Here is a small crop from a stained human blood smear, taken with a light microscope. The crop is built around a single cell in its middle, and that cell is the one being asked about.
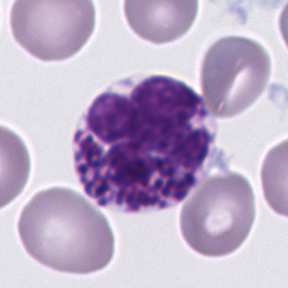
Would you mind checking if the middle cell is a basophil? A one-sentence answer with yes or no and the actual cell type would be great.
Yes, the cell here in the middle is a basophil.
